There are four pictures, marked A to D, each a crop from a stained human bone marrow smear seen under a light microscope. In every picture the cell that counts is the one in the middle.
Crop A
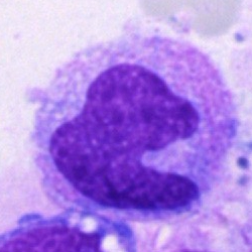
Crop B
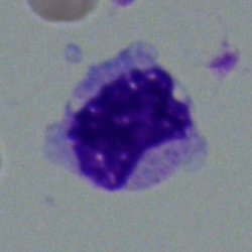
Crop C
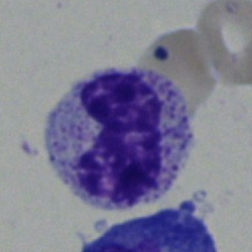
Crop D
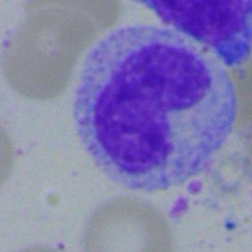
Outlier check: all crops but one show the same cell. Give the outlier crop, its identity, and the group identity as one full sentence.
Only in crop A is there a monocyte; all other crops show metamyelocytes.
